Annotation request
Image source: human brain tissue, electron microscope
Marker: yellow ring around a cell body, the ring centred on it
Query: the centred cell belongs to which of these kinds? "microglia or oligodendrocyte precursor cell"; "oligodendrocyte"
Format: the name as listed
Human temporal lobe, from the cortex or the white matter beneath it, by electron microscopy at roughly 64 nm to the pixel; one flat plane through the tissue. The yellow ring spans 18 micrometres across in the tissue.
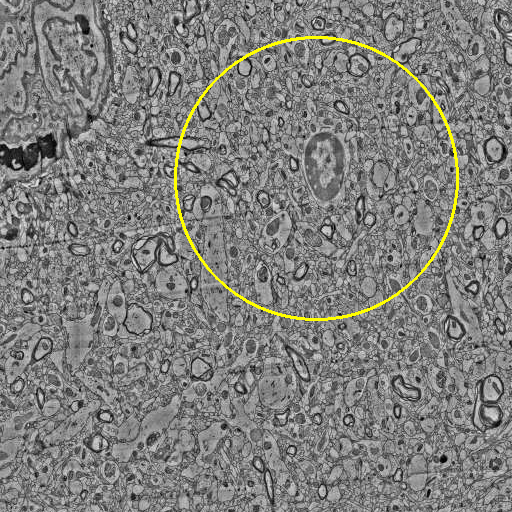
microglia or oligodendrocyte precursor cell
